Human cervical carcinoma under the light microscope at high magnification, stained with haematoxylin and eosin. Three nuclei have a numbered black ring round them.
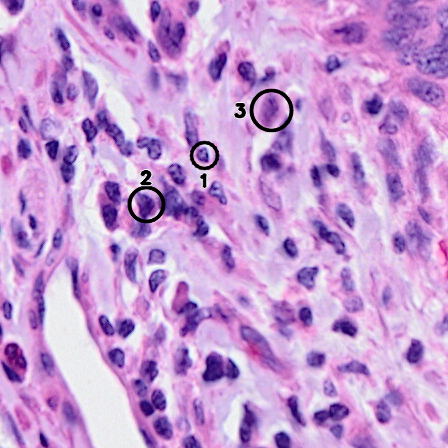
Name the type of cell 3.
macrophage or monocyte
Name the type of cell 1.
lymphocyte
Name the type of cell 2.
lymphocyte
